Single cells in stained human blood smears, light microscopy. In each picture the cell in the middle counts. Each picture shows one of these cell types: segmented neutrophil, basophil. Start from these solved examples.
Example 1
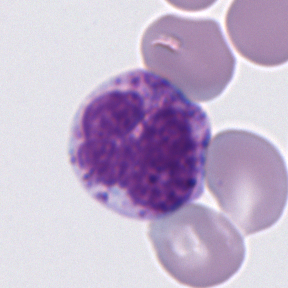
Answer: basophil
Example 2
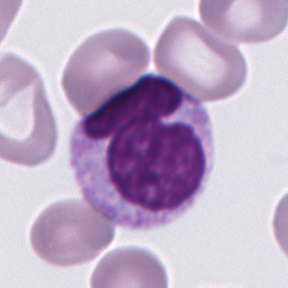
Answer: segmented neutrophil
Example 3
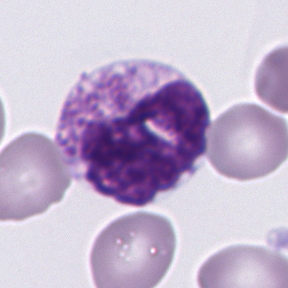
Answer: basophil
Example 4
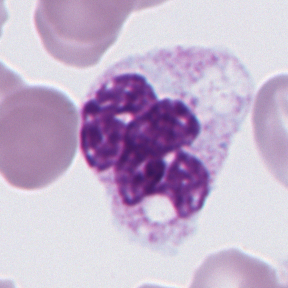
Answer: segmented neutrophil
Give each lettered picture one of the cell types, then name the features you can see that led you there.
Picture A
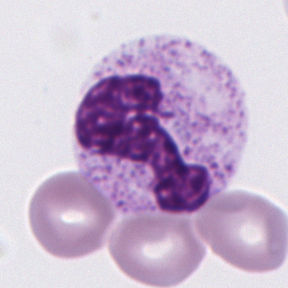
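Label: segmented neutrophil. The cytoplasm is abundant and pale pinkish-lilac.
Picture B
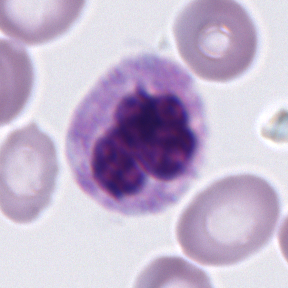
Label: segmented neutrophil. Fine lilac granules are scattered through the cytoplasm.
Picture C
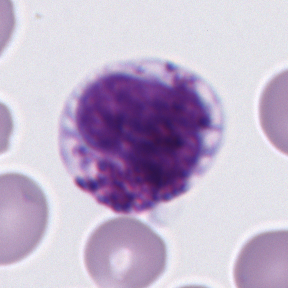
Label: basophil. The cytoplasm holds coarse dark purple granules.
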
